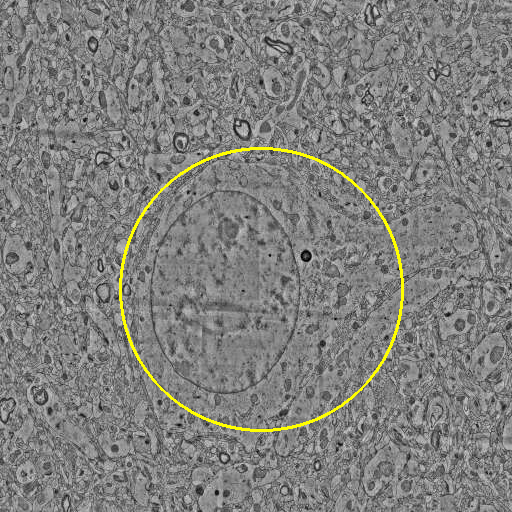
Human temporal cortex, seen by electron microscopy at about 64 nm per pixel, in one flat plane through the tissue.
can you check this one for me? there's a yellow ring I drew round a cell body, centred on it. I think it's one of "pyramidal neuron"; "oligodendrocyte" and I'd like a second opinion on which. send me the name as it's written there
pyramidal neuron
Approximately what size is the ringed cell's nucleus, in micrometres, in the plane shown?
In this plane, roughly 13 by 10 micrometres.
